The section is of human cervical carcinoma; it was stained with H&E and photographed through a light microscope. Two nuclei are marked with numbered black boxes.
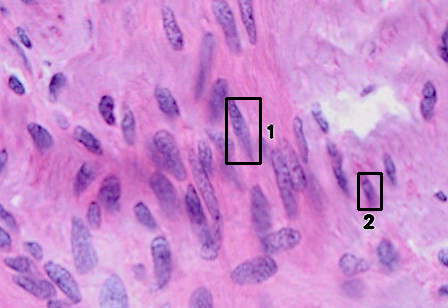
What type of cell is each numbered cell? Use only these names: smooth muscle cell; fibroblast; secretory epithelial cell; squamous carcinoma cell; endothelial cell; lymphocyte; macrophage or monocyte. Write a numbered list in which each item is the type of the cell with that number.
1. fibroblast
2. smooth muscle cell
